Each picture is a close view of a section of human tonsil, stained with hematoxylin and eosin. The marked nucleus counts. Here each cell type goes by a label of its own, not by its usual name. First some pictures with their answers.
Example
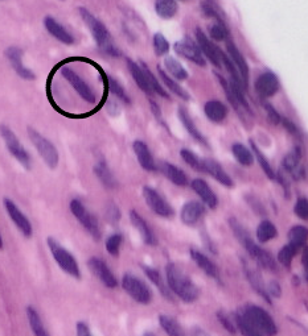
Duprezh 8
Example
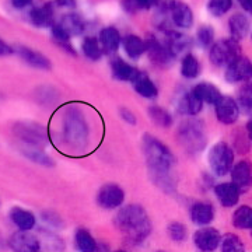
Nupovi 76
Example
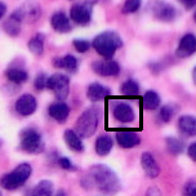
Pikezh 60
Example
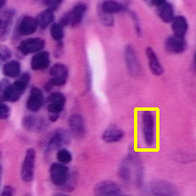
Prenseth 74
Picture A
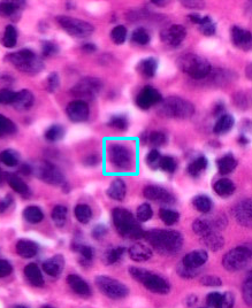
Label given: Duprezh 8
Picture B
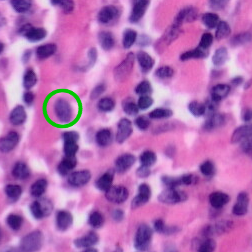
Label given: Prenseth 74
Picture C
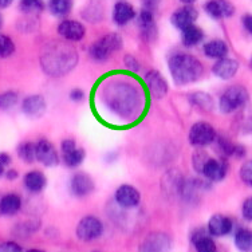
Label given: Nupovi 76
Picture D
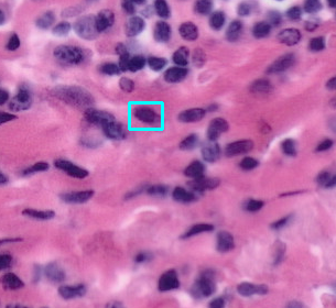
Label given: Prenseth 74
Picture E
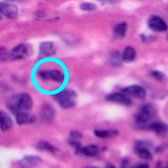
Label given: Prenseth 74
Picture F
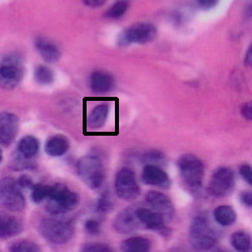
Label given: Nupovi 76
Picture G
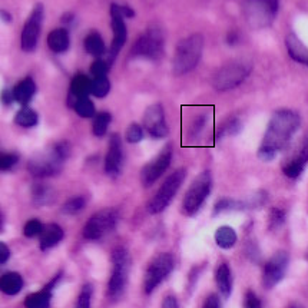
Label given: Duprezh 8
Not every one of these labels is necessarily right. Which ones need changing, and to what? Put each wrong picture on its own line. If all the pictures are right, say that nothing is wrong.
Nothing to fix; every label fits.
